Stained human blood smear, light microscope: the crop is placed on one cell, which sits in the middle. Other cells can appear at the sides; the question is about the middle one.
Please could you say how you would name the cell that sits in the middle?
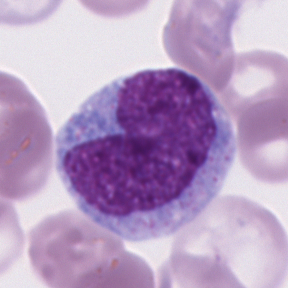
monocyte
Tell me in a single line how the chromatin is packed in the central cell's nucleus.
The chromatin is fine throughout, without coarse clumps.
